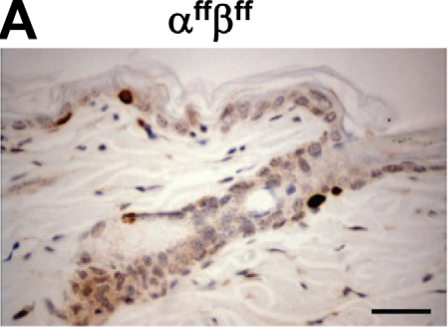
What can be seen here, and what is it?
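Skin with a thin surface epidermis and a hair follicle running obliquely down into the dermis, lined by several layers of epithelial cells. The dermis contains loose pale fibres and sparse elongated nuclei.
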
